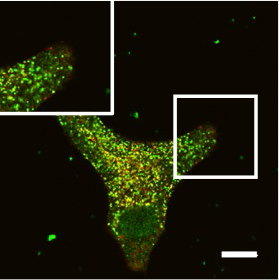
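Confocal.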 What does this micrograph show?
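A dark, rounded area near the lower part of the cell marks the nucleus, which is largely free of granules. The puncta are distributed throughout the cytoplasm without a marked dense cluster at the cell edge. The framed extension, enlarged in the inset, contains scattered granules rather than a tightly packed accumulation.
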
